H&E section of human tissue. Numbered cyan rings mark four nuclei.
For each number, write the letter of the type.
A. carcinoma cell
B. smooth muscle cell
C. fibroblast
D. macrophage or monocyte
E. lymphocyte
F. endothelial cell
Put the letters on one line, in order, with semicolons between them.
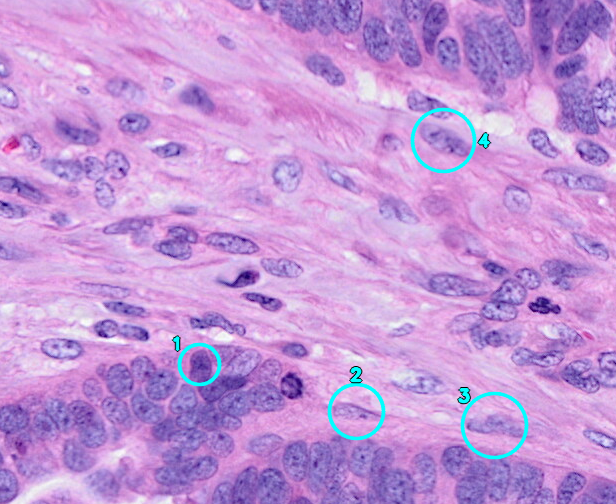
A; C; C; C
